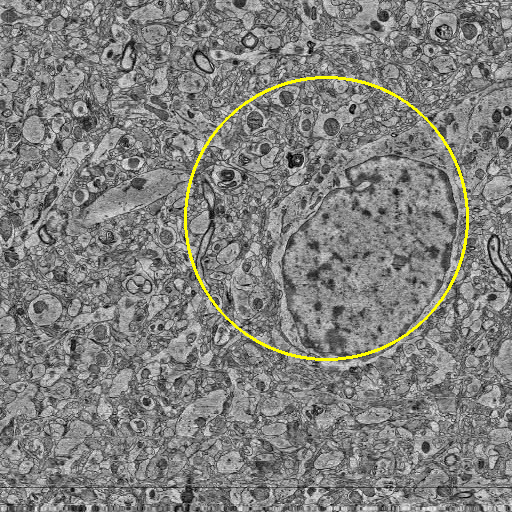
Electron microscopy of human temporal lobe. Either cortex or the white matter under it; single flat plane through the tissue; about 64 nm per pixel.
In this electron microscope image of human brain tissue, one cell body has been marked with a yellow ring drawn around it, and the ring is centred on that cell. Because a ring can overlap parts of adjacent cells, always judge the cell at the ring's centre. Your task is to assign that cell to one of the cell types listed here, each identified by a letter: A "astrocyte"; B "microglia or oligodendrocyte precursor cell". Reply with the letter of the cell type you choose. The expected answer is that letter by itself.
B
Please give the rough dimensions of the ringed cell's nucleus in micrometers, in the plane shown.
The nucleus measures about 14 by 10 micrometres in this plane.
